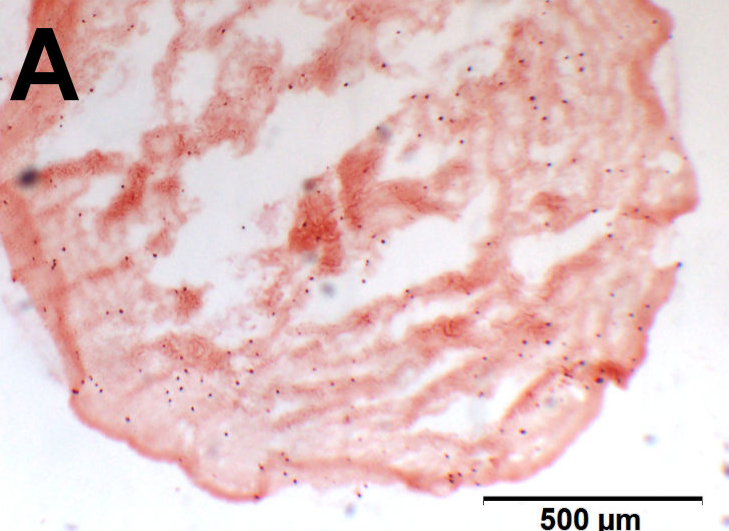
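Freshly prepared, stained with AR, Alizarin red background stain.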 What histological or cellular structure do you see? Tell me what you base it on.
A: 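A rounded, sharply bordered fragment of gel-like material fills much of the field. Small dark round dots lie scattered singly through the material.
Alginate beads.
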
